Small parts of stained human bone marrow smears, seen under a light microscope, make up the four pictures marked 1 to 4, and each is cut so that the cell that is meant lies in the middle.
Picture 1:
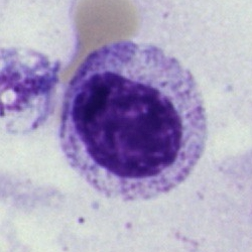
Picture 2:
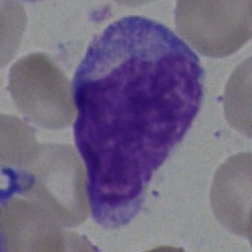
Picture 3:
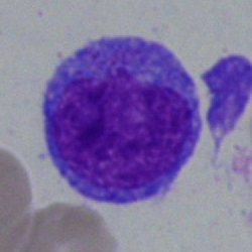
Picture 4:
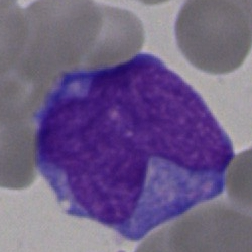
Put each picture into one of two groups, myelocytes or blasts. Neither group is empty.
1: myelocyte
2: blast
3: blast
4: blast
